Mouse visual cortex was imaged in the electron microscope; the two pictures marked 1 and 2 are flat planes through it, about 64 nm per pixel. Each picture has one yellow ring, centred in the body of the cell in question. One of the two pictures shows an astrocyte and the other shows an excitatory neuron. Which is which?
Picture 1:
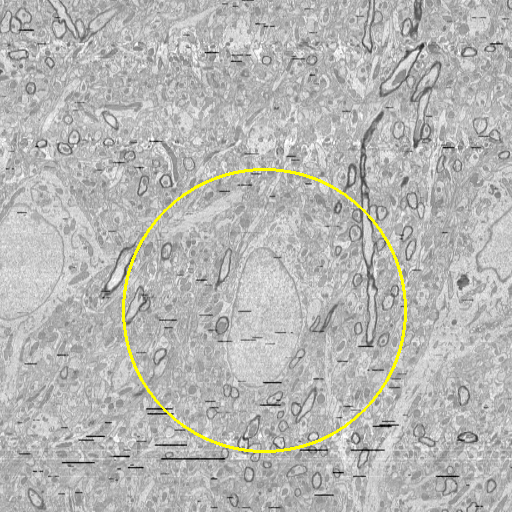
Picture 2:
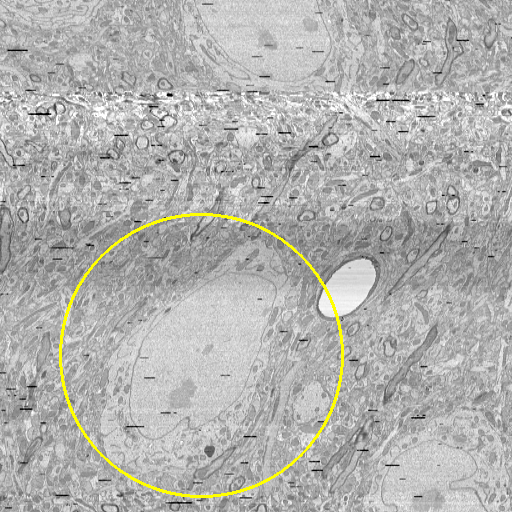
Picture 1 shows an astrocyte and picture 2 shows an excitatory neuron.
